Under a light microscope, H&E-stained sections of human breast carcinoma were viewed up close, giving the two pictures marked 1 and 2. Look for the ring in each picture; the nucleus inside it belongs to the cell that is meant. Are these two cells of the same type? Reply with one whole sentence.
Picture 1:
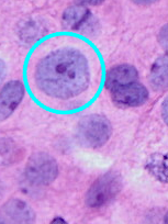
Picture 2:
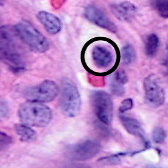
No, picture 1 shows a carcinoma cell and picture 2 shows a mast cell.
